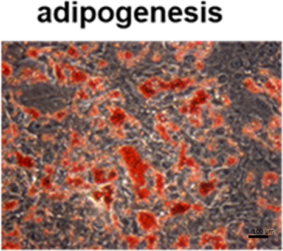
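Many cells hold clusters of small, round, red-stained droplets in their cytoplasm. The droplets gather in irregular groups that are scattered across the field. Between these groups lie unstained, grey cells that form a crowded layer.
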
